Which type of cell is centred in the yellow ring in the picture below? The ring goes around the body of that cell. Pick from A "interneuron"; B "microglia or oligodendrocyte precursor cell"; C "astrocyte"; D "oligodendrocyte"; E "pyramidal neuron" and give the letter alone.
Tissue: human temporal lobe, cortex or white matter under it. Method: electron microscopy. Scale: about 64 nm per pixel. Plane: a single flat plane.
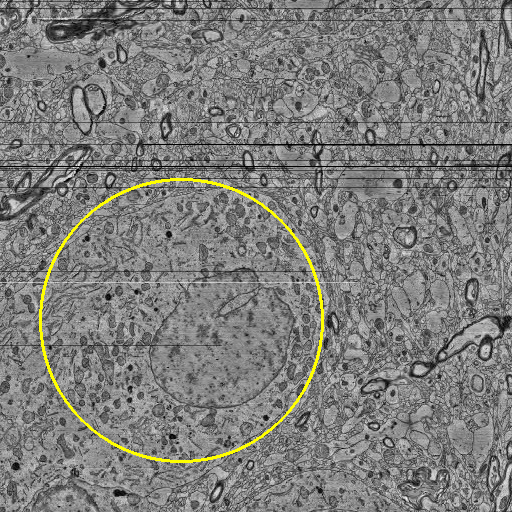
A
